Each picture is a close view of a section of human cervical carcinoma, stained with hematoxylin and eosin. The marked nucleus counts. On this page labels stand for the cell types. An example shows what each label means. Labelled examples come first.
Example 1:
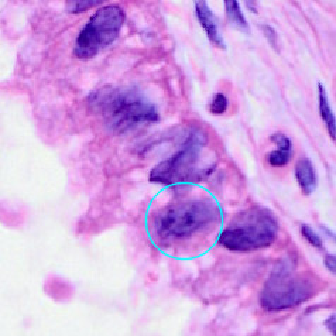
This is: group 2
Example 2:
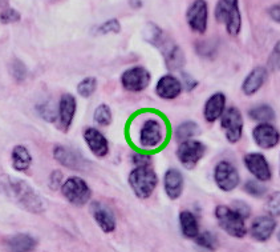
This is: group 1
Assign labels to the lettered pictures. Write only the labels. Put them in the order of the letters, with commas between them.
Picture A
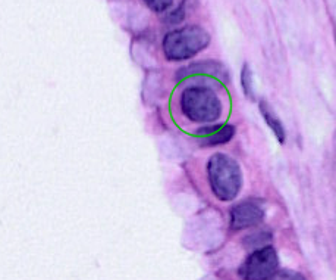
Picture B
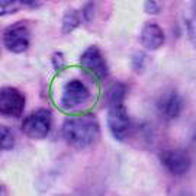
group 2, group 1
